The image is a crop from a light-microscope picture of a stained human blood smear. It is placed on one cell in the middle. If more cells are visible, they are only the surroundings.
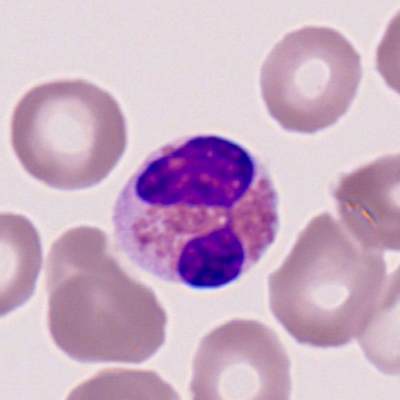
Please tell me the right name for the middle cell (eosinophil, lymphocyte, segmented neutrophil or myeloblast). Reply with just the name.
eosinophil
